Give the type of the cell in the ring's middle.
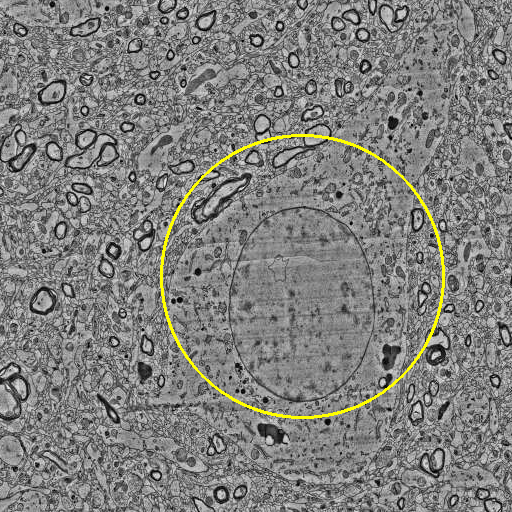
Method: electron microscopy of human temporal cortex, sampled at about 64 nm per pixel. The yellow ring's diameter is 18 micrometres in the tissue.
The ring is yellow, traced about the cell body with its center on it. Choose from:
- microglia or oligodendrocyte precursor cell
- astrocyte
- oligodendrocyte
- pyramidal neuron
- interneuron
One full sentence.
Here, a pyramidal neuron is the cell lying at the center of the yellow ring.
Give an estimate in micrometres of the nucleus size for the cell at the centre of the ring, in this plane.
In this plane, roughly 12 by 9 micrometres.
